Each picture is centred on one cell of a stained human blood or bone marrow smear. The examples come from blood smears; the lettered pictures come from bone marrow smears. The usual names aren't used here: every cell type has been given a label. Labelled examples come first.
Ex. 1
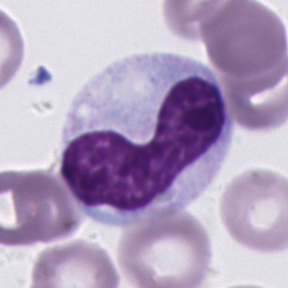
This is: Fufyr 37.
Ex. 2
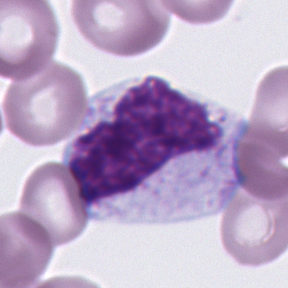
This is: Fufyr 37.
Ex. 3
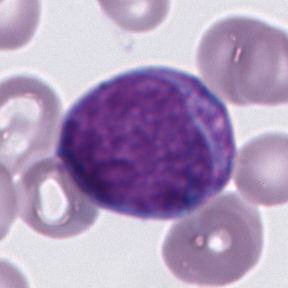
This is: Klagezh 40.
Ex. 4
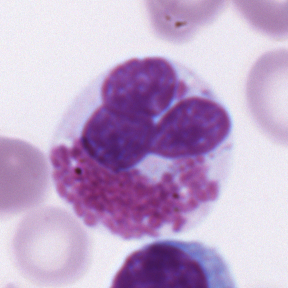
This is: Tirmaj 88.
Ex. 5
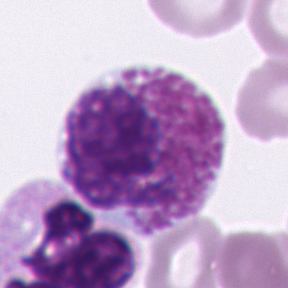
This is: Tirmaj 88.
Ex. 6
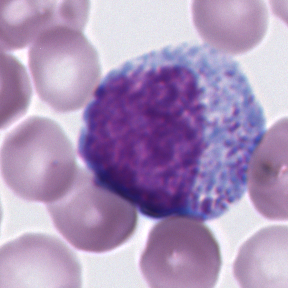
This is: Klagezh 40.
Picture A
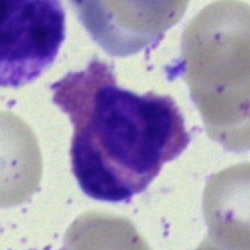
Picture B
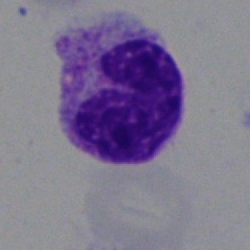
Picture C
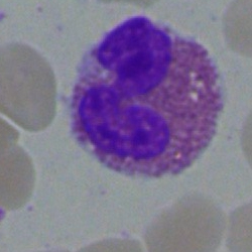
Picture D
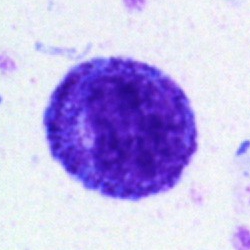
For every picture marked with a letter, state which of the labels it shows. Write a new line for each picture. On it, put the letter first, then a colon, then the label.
A: Tirmaj 88.
B: Fufyr 37.
C: Tirmaj 88.
D: Klagezh 40.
